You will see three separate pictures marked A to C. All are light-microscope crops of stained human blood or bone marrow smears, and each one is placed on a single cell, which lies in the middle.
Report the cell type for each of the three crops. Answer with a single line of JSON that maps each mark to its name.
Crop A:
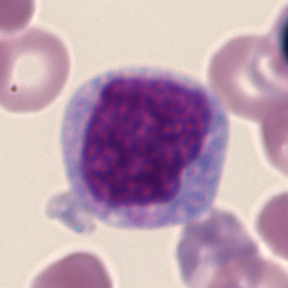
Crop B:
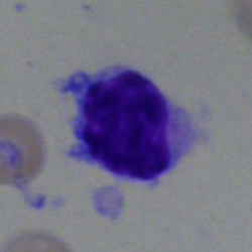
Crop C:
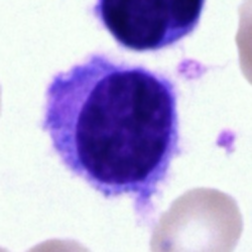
{"A": "monocyte", "B": "hairy cell", "C": "hairy cell"}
